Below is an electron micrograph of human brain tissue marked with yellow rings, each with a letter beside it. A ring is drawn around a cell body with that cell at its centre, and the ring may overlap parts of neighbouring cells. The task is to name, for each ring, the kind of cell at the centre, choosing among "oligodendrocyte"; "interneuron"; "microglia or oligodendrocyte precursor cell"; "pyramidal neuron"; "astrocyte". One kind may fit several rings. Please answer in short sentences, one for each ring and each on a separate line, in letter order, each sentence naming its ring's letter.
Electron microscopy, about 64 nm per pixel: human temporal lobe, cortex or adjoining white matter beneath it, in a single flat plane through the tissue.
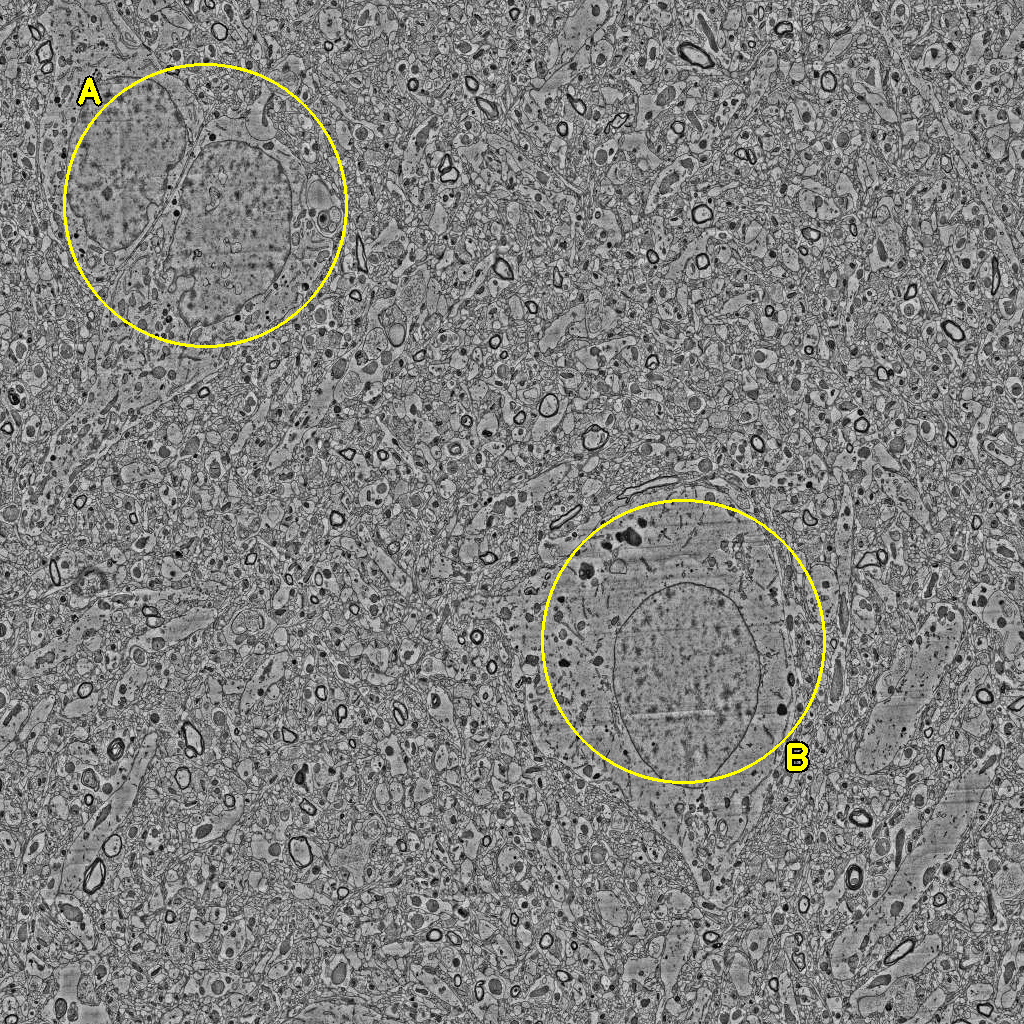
The ring with letter A is centred on an interneuron.
The ring with letter B is centred on a pyramidal neuron.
